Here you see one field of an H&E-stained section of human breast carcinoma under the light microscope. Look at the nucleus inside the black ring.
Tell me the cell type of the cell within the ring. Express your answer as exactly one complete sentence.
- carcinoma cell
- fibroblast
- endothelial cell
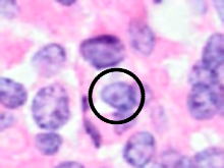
The identity of the cell within the ring: it is a carcinoma cell.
